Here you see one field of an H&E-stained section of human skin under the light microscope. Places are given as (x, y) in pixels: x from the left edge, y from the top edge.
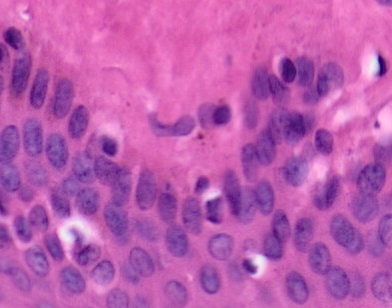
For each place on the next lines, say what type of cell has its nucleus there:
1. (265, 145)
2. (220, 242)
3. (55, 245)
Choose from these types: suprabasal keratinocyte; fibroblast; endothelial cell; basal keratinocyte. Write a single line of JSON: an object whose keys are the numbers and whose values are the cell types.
{"1": "basal keratinocyte", "2": "suprabasal keratinocyte", "3": "basal keratinocyte"}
